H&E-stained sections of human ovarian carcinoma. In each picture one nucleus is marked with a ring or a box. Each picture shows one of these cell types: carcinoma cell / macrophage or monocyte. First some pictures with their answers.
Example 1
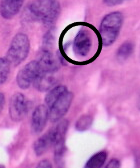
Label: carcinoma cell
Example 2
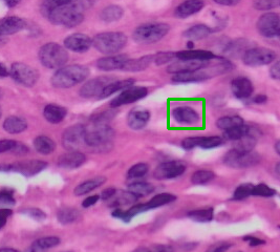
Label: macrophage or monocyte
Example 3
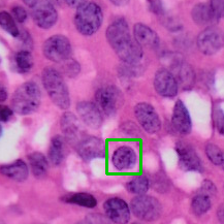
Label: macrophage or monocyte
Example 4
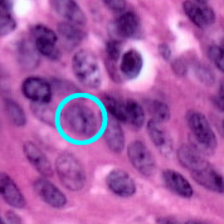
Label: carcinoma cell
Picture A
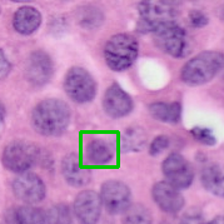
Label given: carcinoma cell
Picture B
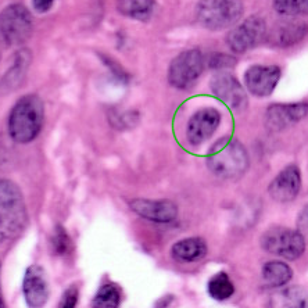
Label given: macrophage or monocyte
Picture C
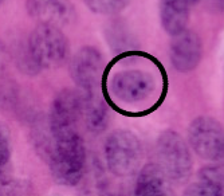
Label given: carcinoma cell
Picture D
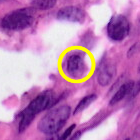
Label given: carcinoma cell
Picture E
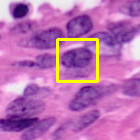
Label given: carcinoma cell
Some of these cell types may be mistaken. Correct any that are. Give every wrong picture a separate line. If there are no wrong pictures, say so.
Wrong: C (carcinoma cell); correct: macrophage or monocyte
Wrong: D (carcinoma cell); correct: macrophage or monocyte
